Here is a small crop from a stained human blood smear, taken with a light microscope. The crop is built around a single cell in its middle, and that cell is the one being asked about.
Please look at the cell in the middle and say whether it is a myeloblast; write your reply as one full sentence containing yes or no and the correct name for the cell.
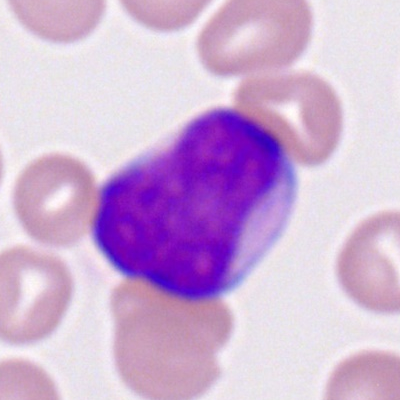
Yes, what sits in the centre of the crop is a myeloblast.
